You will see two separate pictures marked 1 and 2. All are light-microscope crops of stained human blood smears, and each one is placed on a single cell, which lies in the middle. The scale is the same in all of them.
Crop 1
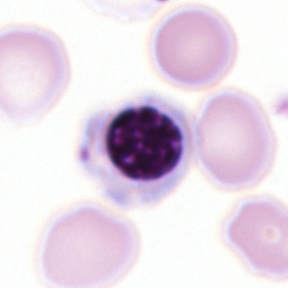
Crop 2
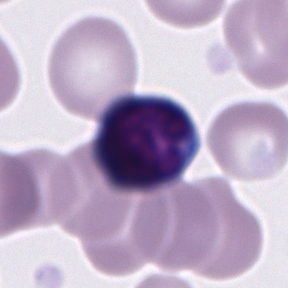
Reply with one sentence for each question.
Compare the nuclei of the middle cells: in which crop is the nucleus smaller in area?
Smaller is the nucleus in crop 1, and the other is about 1.5 times as large in area.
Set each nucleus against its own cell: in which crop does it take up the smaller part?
In crop 1 the nucleus takes up the smaller part of its cell.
